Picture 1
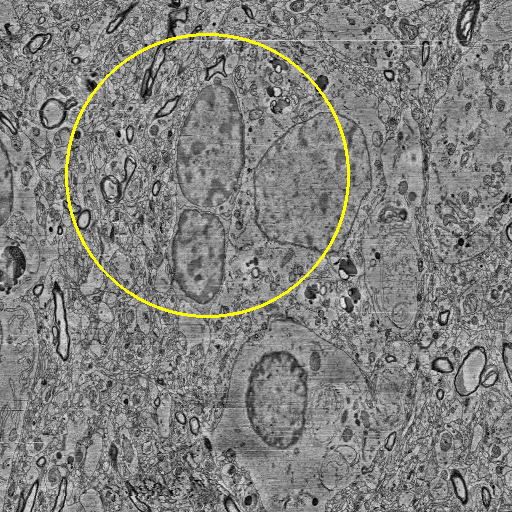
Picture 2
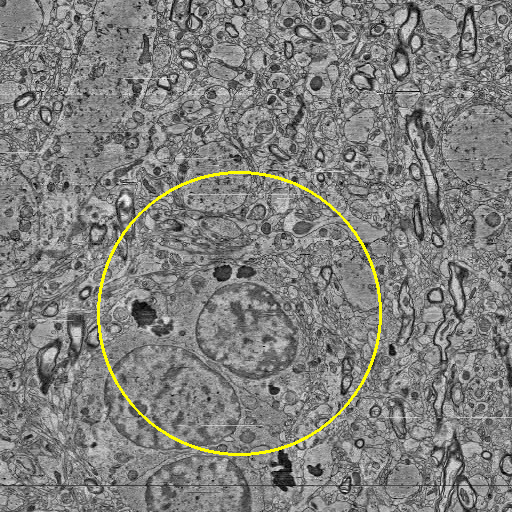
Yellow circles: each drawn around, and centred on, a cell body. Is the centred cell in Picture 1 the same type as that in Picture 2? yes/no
yes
